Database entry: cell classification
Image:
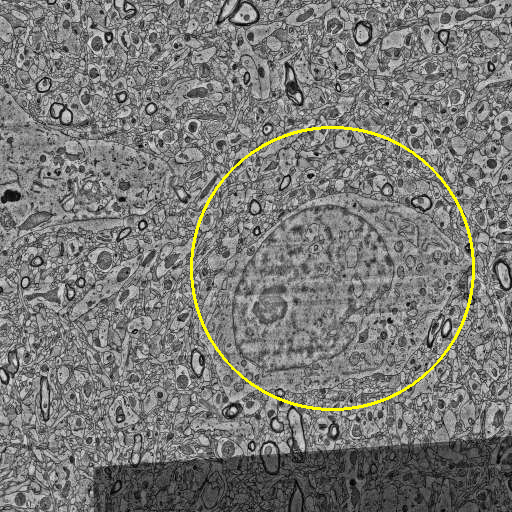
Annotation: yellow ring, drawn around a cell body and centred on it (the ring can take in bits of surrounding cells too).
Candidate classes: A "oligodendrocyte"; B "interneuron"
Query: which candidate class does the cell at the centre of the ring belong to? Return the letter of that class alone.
B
